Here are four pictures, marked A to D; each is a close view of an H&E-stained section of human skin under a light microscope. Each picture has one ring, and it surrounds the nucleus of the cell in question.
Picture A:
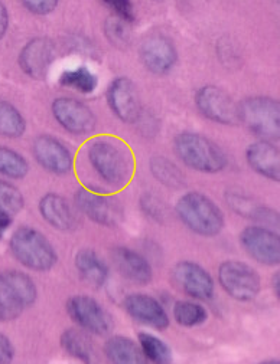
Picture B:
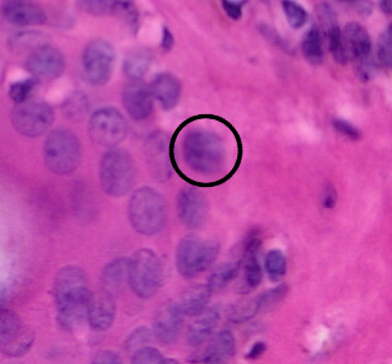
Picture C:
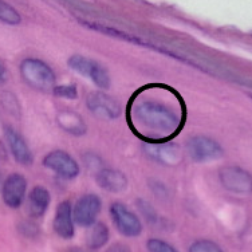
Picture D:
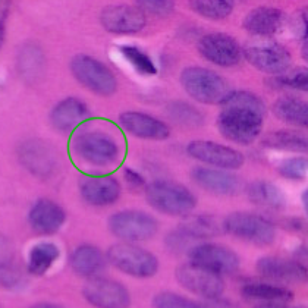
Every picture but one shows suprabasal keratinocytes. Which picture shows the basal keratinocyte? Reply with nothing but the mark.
B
